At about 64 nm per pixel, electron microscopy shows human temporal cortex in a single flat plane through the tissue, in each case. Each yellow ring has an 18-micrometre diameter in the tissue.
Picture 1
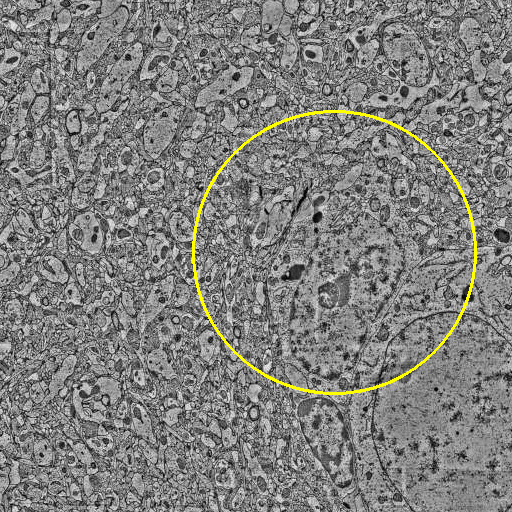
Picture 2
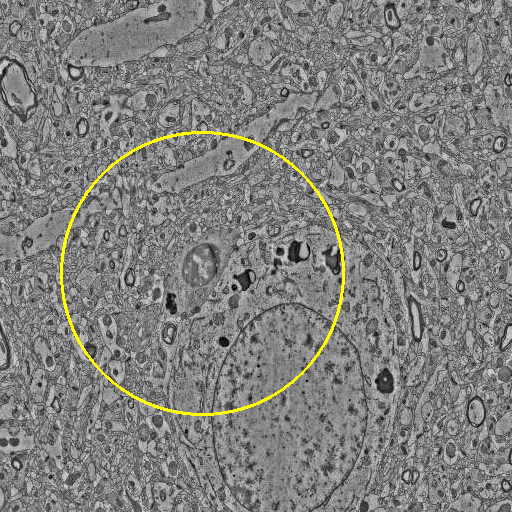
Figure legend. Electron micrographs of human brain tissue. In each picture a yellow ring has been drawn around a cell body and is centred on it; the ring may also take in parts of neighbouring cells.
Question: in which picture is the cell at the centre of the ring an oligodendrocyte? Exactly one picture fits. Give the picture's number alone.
2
